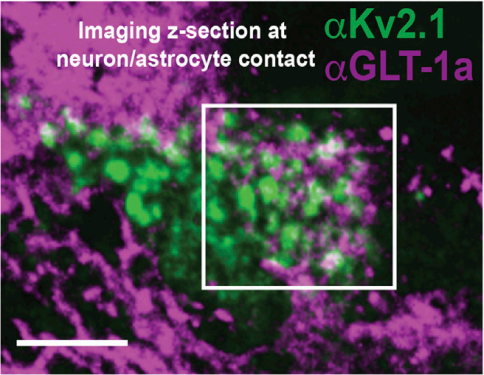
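The neuron's surface shows many discrete green puncta and small clusters, scattered over a roughly rounded area in the middle of the field. Magenta label fills a broad region at the upper left and forms thin, branching processes that run across the lower part of the field. Within the contact area the magenta forms a patchy, meshlike pattern that lies between and around the green clusters. In a few places the two overlap and appear white.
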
